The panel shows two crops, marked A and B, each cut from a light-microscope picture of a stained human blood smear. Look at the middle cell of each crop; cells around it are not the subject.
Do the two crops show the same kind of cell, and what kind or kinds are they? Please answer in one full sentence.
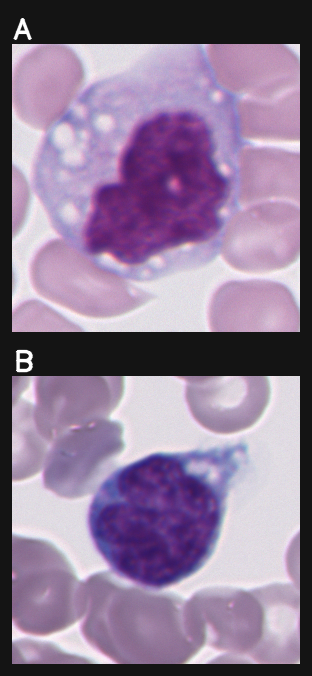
Yes, both crops are centred on monocytes.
